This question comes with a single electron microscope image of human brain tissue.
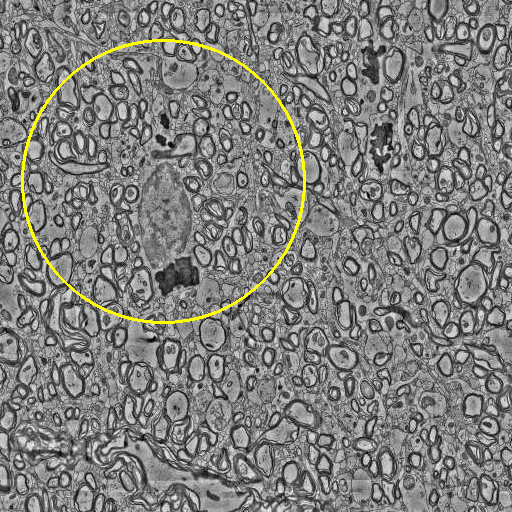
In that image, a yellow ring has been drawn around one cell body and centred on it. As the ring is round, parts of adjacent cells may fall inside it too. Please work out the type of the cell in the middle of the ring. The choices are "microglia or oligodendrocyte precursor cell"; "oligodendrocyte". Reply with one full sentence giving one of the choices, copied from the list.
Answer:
Of the choices, an oligodendrocyte is the cell sitting in the middle of the ring.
